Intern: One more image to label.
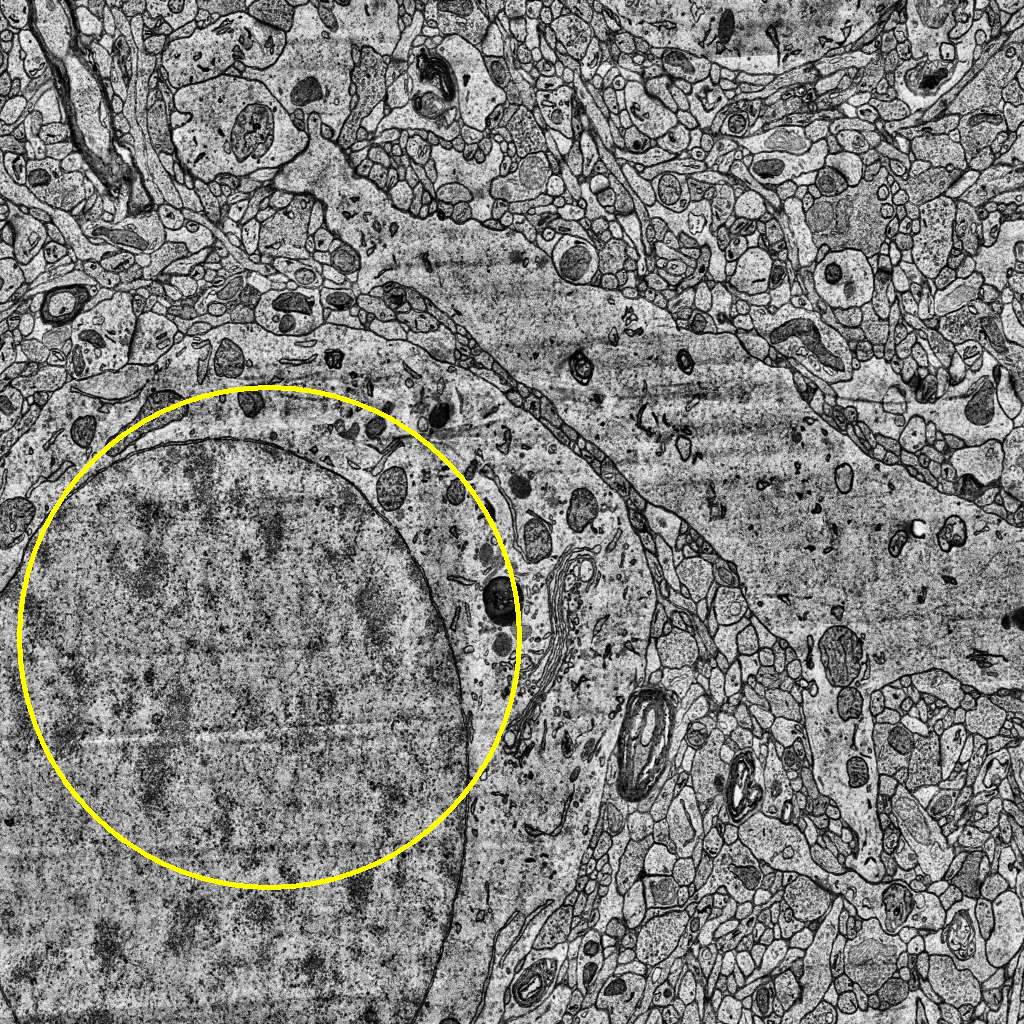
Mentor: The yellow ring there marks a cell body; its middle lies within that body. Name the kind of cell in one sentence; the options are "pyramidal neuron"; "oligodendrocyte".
The ring marks the cell body of a pyramidal neuron.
